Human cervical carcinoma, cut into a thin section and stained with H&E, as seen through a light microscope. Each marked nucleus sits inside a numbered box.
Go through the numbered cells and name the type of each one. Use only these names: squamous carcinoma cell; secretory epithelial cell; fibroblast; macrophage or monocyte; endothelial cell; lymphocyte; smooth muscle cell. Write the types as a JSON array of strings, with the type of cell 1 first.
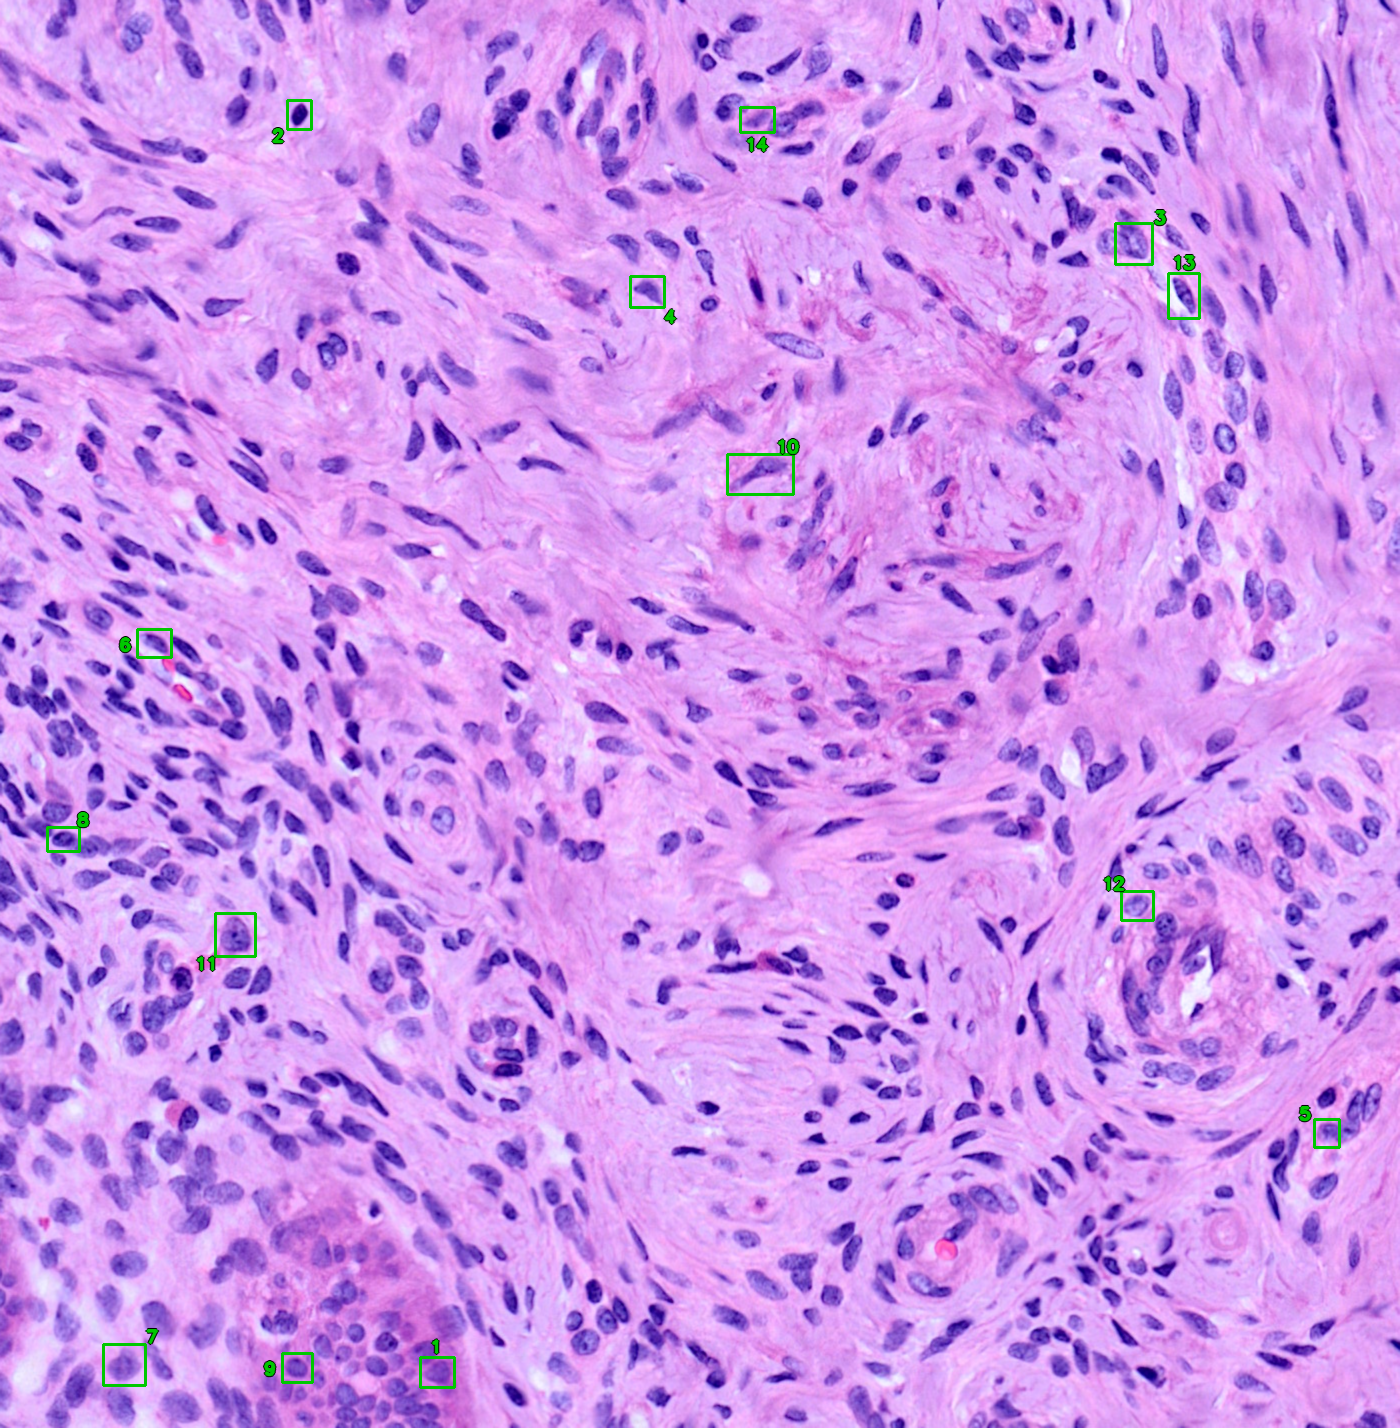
["secretory epithelial cell", "lymphocyte", "endothelial cell", "fibroblast", "endothelial cell", "endothelial cell", "fibroblast", "fibroblast", "secretory epithelial cell", "smooth muscle cell", "endothelial cell", "smooth muscle cell", "endothelial cell", "endothelial cell"]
